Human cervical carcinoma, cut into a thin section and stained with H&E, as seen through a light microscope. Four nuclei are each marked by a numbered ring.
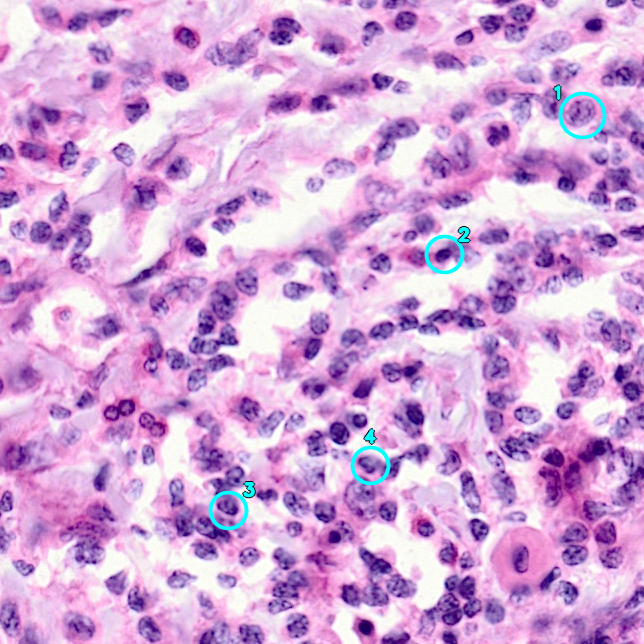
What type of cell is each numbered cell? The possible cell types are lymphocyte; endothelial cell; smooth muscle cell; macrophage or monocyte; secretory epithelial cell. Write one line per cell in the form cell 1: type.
cell 1: macrophage or monocyte
cell 2: lymphocyte
cell 3: lymphocyte
cell 4: lymphocyte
